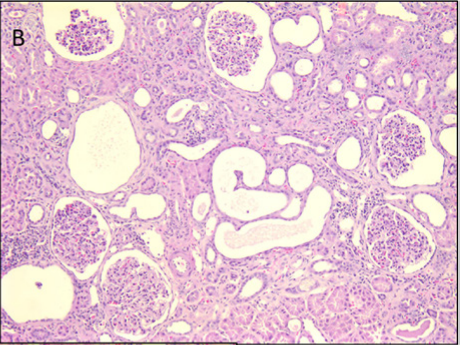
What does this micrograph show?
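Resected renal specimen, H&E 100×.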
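Kidney cortex in which many tubules are markedly dilated, lying among several glomeruli. The dilated tubules have wide, pale lumens lined by flattened epithelium and vary greatly in shape: some are round, others elongated, curved or branching, and some contain faint pale pink material. The glomeruli are rounded capillary tufts within clear Bowman spaces, with purple nuclei throughout the tufts. Between the dilated tubules lie smaller tubules of ordinary calibre with pink cytoplasm and the interstitium, which shows scattered purple nuclei. The overall architecture is disrupted by the numerous cystically widened tubules.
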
